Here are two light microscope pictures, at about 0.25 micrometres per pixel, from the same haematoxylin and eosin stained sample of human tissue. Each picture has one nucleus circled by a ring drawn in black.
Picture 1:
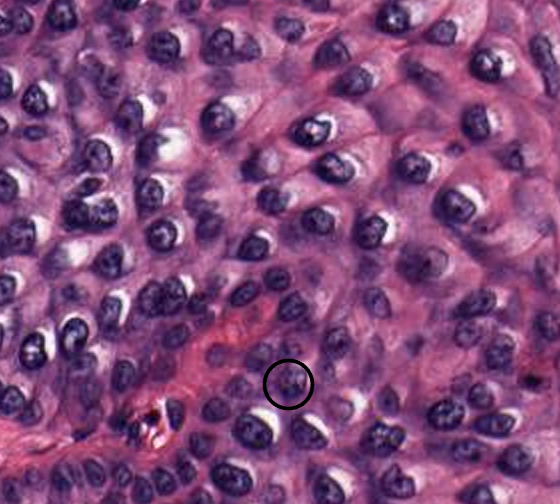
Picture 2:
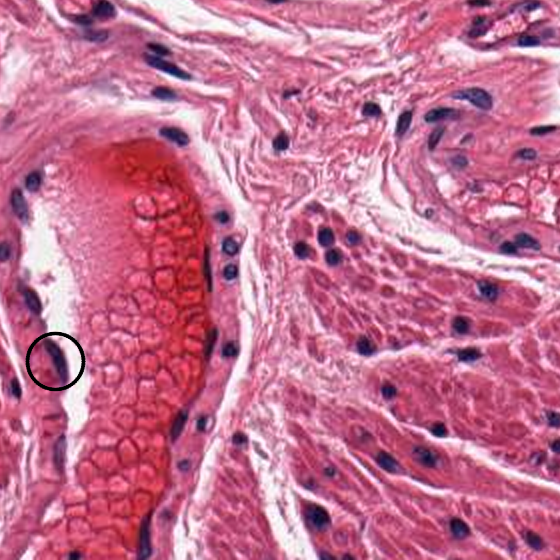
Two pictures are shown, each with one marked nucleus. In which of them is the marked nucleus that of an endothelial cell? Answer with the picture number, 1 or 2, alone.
2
